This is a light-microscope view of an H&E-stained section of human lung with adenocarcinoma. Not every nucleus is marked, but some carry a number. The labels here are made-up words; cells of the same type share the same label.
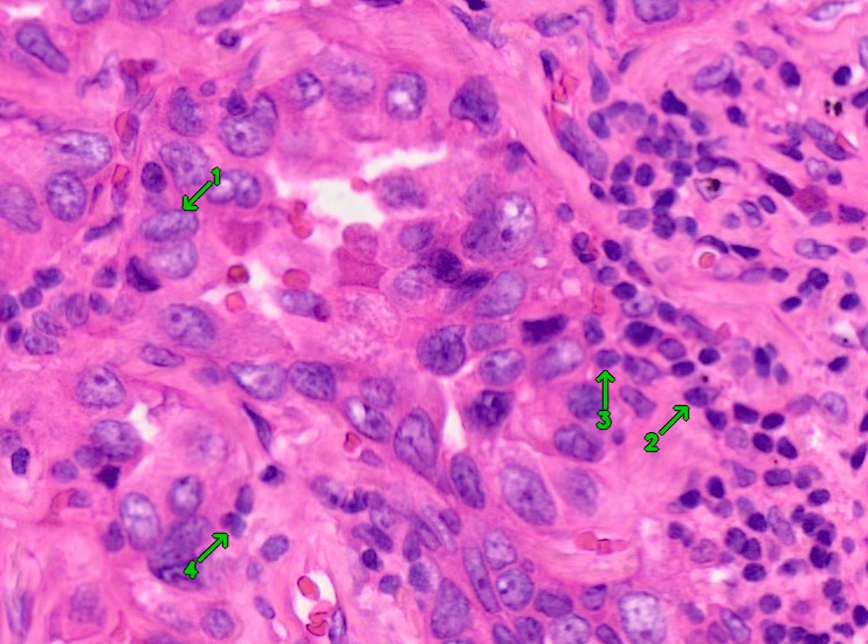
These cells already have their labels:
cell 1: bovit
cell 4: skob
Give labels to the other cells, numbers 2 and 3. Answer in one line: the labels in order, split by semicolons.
skob; skob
